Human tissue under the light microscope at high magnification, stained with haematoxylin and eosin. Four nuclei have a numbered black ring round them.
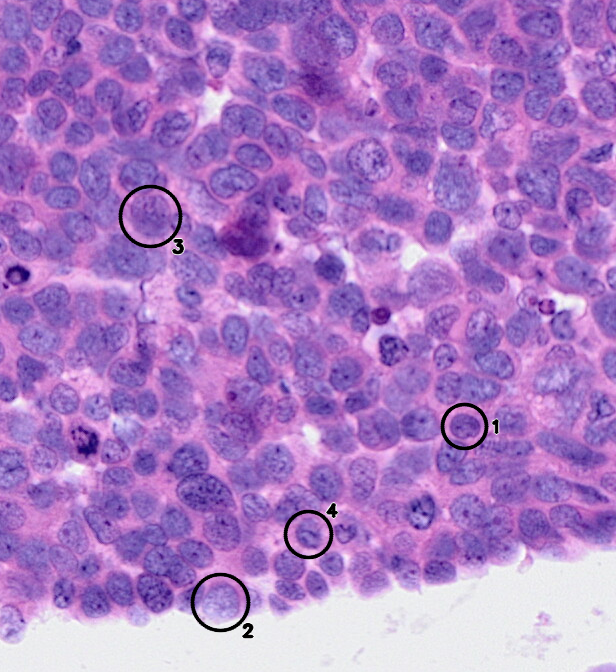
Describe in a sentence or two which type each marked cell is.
Cells 1, 2 and 3 are carcinoma cells. Cell 4 is a macrophage or monocyte.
